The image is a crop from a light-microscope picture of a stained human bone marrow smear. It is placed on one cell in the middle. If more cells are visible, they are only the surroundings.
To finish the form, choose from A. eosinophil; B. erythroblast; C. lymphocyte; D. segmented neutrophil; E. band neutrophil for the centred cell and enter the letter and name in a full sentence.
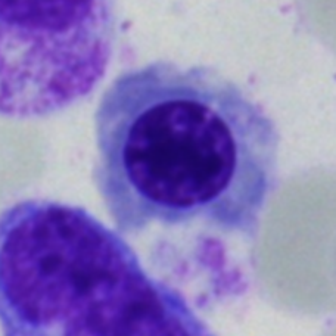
Seen at the centre of the crop is an erythroblast, so option B is correct.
